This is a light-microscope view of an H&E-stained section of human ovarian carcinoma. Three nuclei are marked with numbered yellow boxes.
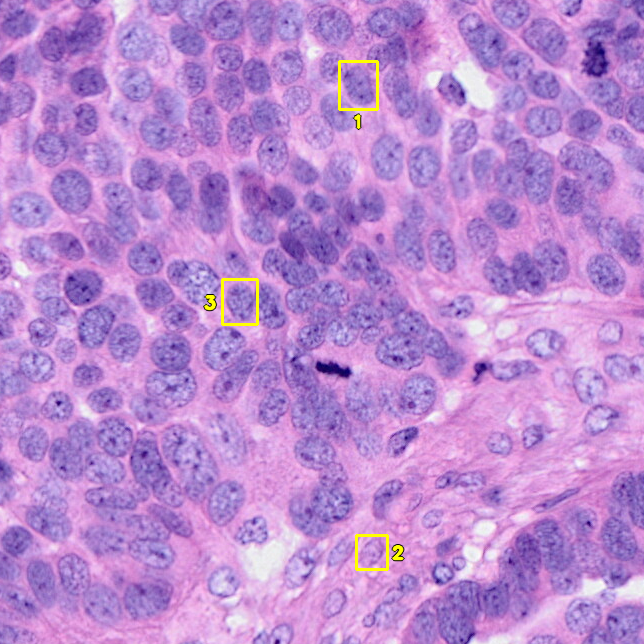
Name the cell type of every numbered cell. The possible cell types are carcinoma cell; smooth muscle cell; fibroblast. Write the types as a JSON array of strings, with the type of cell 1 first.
["carcinoma cell", "fibroblast", "carcinoma cell"]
